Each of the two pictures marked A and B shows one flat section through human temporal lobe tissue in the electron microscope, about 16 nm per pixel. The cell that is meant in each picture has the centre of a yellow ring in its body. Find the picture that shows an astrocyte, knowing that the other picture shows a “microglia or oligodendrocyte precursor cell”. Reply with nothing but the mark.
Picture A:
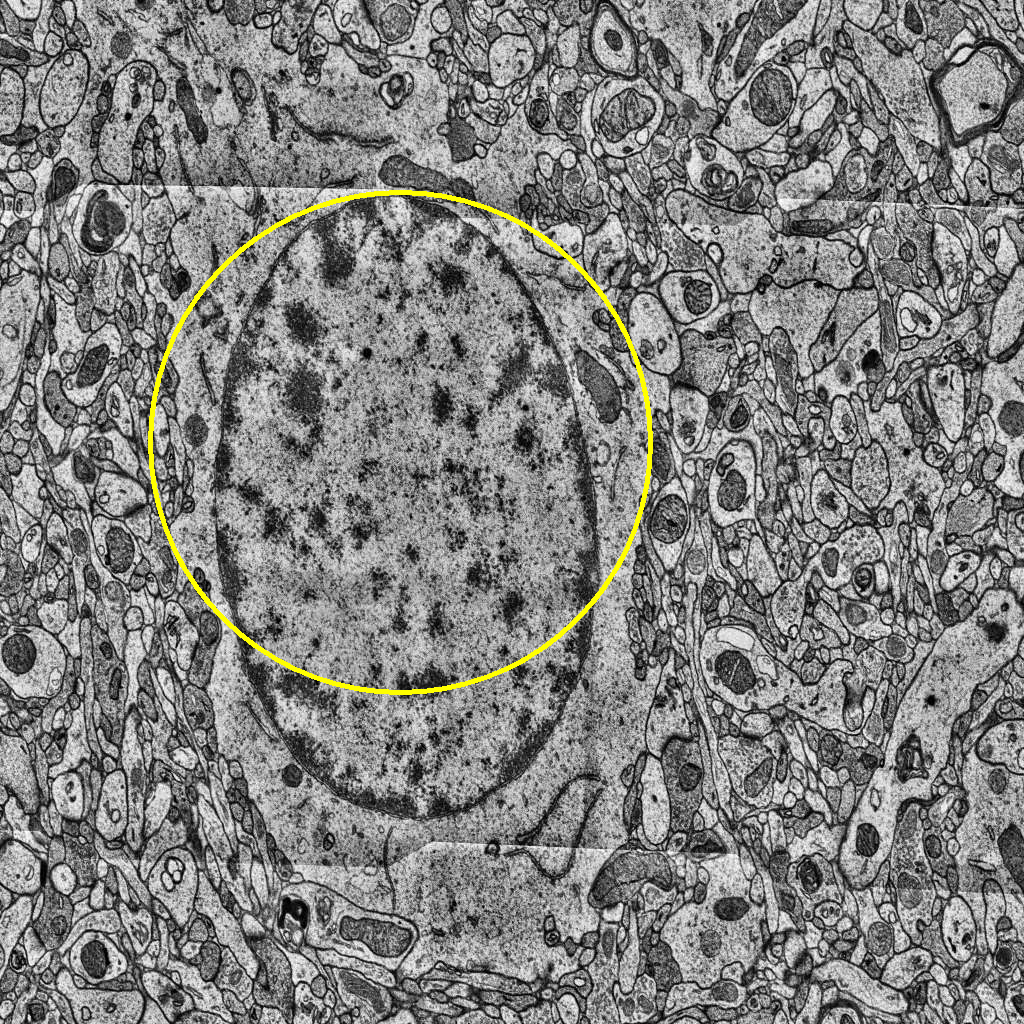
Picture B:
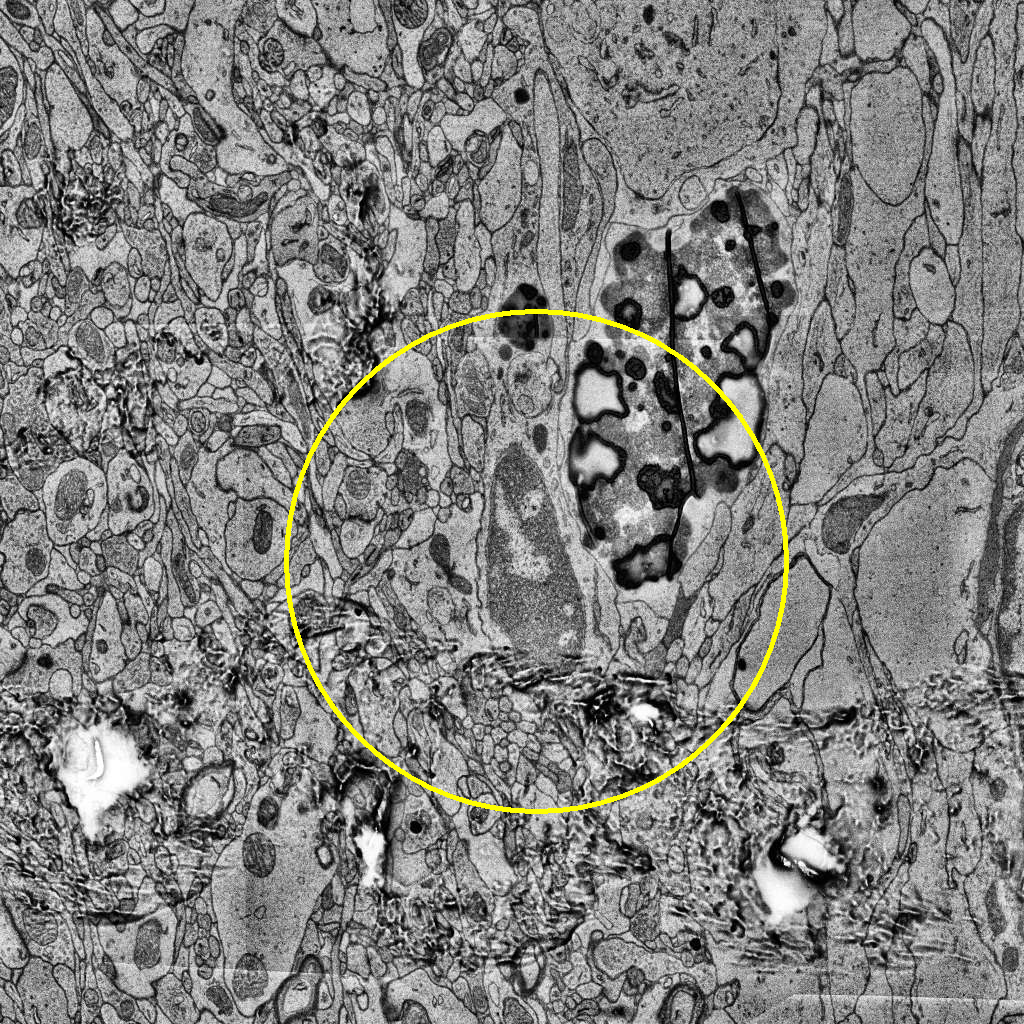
A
